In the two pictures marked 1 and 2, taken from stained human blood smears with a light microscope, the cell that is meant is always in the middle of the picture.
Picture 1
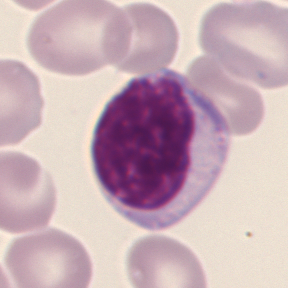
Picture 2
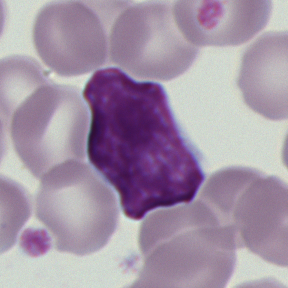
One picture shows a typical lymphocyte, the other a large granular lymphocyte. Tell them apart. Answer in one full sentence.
It is picture 1 that shows a large granular lymphocyte, and picture 2 that shows a typical lymphocyte.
